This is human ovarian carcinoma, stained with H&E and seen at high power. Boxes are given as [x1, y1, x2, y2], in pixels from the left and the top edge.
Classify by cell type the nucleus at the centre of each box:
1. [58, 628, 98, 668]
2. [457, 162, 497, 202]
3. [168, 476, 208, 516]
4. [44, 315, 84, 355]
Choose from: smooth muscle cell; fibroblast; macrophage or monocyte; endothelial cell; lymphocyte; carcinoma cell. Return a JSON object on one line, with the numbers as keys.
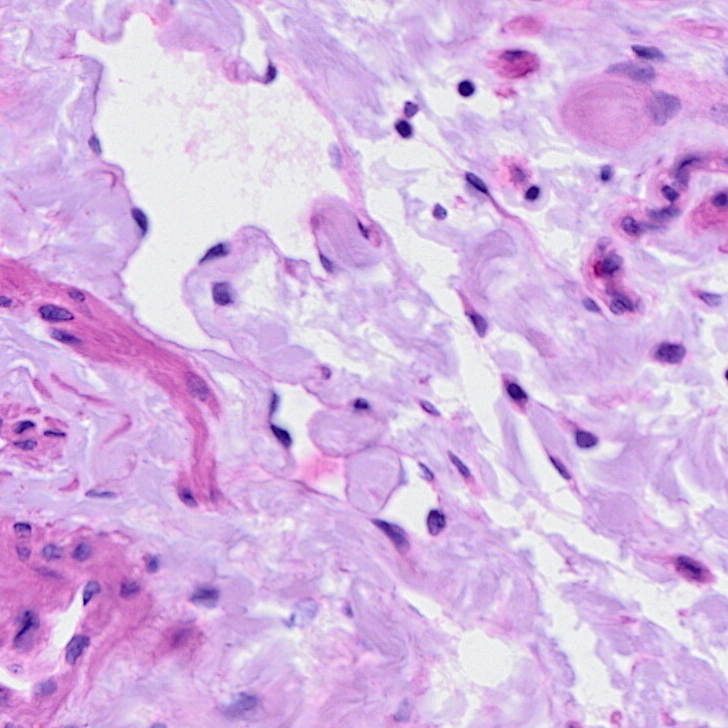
{"1": "endothelial cell", "2": "fibroblast", "3": "smooth muscle cell", "4": "smooth muscle cell"}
